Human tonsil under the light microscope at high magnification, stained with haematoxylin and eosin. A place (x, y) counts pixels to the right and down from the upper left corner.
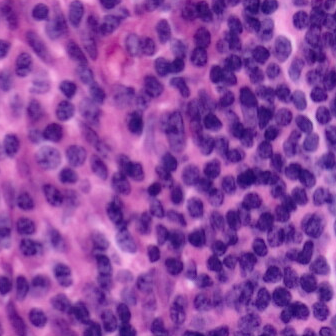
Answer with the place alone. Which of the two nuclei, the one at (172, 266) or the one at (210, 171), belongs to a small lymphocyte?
(210, 171)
